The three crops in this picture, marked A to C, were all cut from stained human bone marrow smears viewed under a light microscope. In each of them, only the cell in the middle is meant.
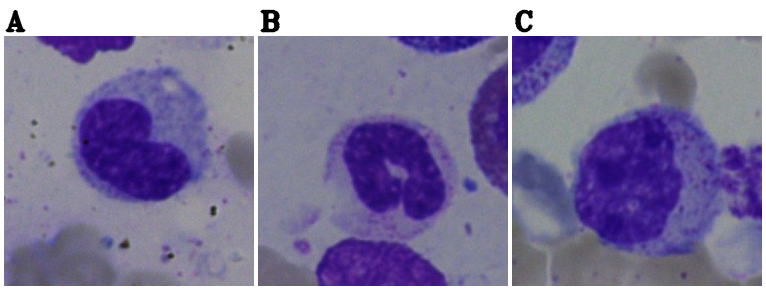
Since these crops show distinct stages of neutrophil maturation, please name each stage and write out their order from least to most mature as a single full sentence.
By increasing maturity, the order is crop C (a myelocyte), crop A (a metamyelocyte) and crop B (a segmented neutrophil).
